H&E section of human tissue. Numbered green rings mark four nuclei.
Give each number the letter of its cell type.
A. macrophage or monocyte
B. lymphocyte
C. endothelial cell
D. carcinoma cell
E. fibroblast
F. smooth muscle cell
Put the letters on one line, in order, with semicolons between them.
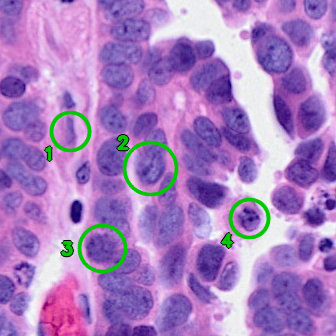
E; D; D; A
